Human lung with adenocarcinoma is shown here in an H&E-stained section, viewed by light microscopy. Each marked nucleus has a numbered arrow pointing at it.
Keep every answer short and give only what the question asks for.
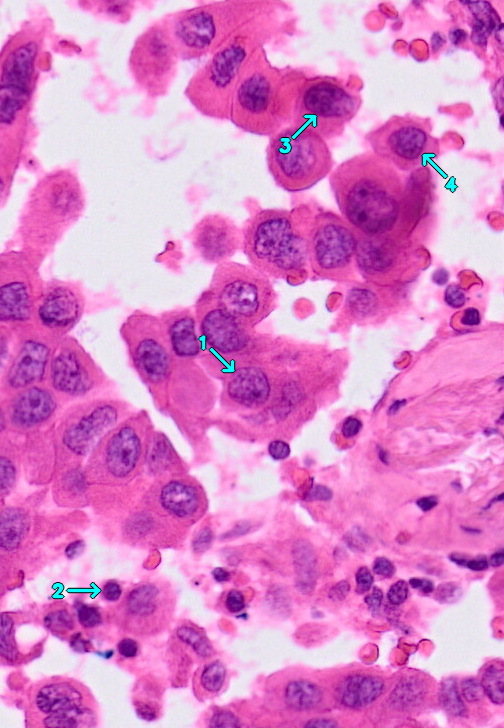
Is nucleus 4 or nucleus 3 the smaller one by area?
4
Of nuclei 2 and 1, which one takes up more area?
1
